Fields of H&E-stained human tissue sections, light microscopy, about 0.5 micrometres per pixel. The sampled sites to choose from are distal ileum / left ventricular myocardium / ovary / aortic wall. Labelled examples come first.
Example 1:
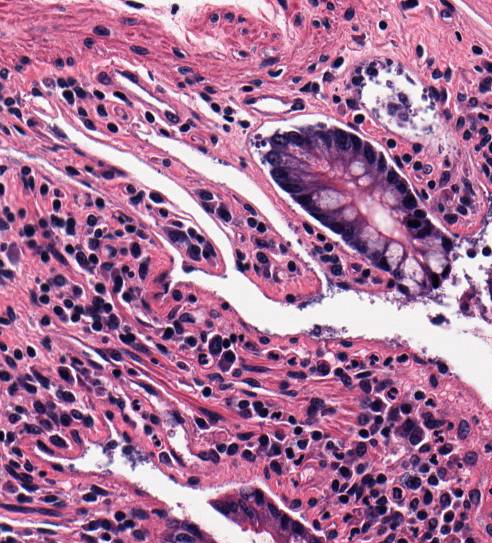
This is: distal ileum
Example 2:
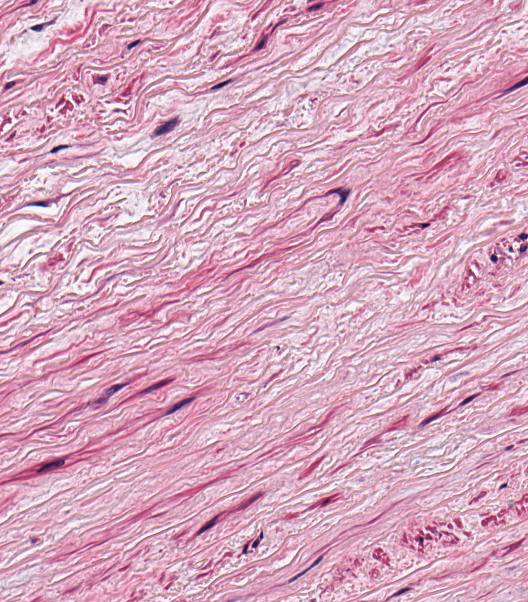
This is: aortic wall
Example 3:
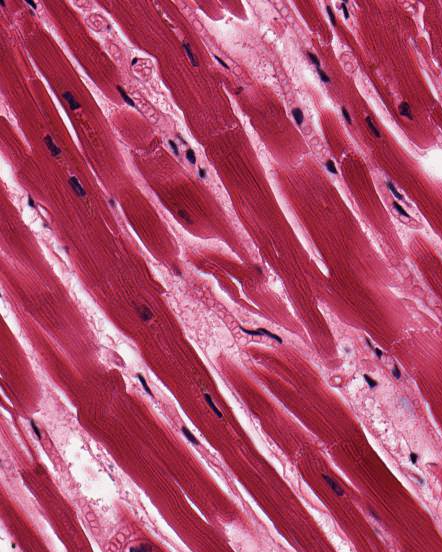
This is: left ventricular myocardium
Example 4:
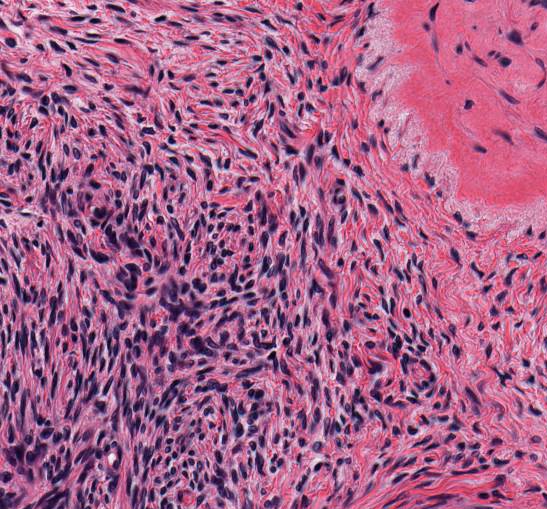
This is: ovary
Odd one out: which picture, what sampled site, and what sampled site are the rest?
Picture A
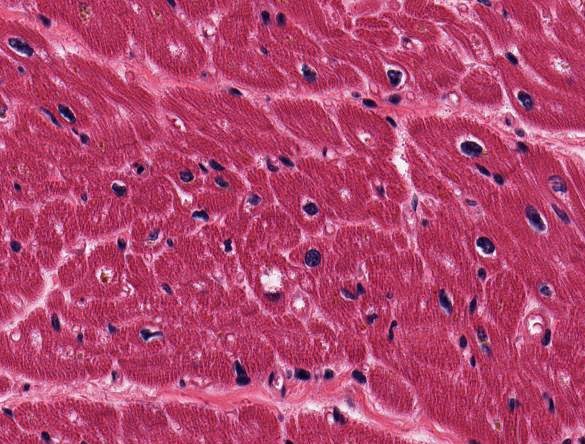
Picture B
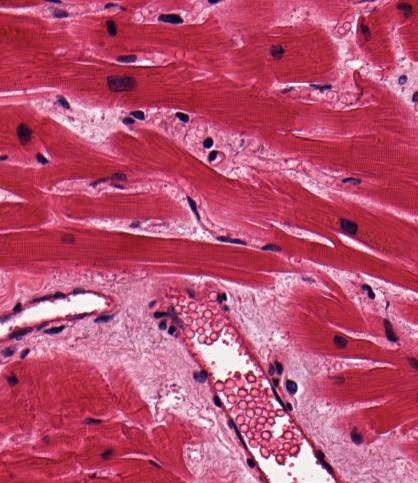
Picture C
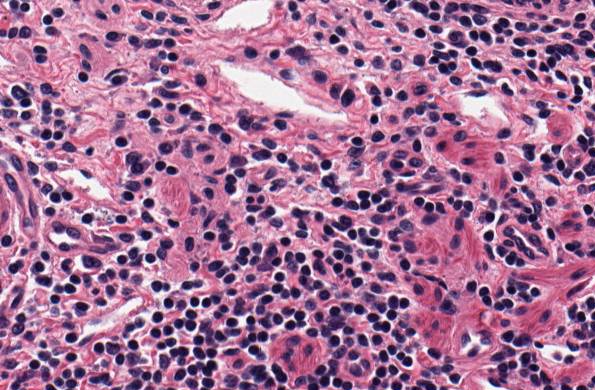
Odd one out: C (distal ileum). The rest: left ventricular myocardium.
